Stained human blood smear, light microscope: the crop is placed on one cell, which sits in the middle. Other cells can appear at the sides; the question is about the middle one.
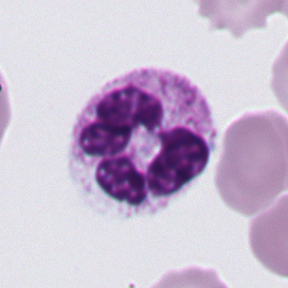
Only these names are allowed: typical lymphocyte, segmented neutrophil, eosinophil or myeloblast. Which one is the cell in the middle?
segmented neutrophil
